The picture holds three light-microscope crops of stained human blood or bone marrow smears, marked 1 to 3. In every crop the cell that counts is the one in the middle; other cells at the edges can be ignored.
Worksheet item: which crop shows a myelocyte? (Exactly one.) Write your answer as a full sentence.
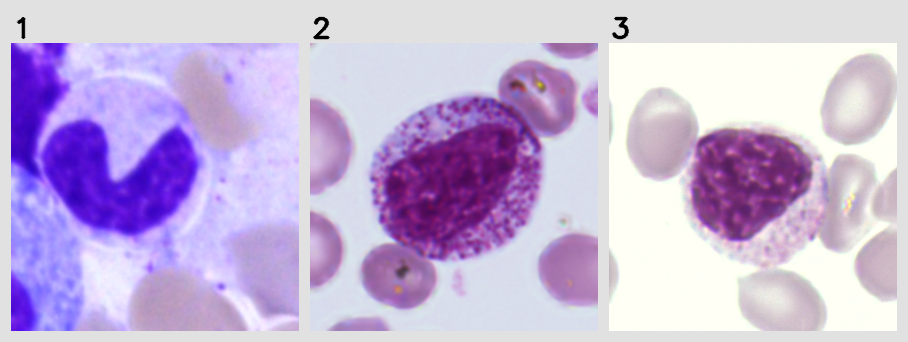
Crop 2 is the crop in which a myelocyte is shown.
